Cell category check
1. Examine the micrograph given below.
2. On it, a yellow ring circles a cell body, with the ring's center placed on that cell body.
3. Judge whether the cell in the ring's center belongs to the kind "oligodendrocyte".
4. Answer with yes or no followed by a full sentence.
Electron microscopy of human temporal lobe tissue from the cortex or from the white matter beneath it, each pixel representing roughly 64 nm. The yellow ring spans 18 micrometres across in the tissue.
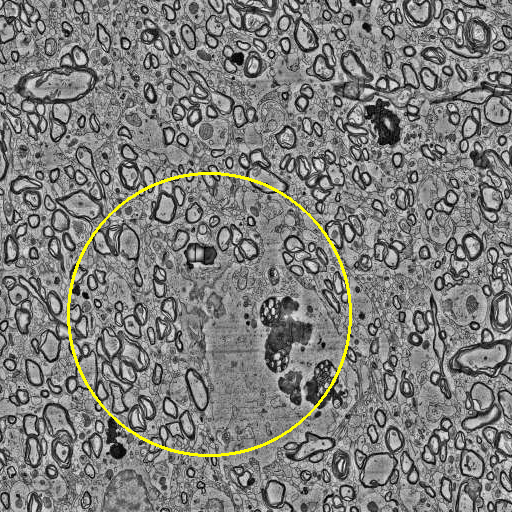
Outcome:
Yes, the cell at the center of the yellow ring belongs to that kind.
